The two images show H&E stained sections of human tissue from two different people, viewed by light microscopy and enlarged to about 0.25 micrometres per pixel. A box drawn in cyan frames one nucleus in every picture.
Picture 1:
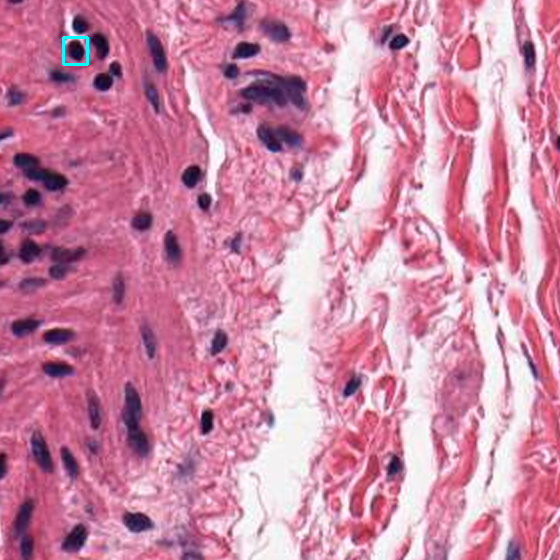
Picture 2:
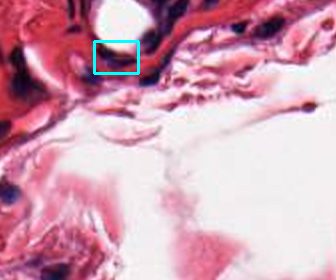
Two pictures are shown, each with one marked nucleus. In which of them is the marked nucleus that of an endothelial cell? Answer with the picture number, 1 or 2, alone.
2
